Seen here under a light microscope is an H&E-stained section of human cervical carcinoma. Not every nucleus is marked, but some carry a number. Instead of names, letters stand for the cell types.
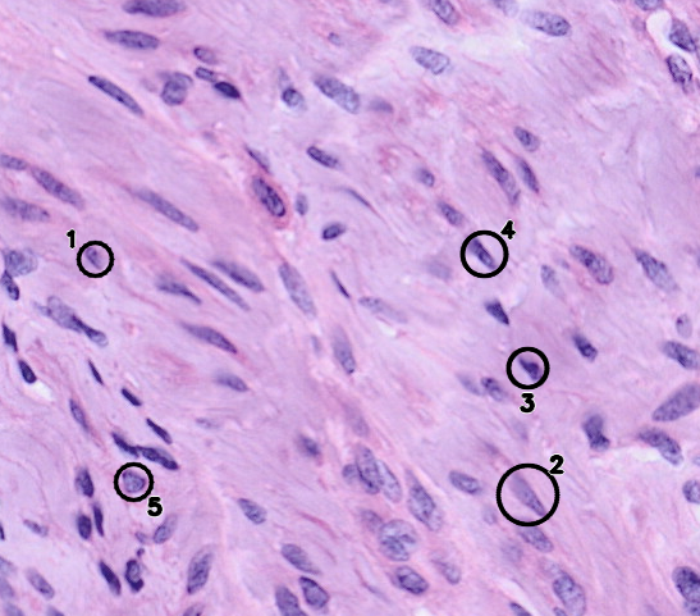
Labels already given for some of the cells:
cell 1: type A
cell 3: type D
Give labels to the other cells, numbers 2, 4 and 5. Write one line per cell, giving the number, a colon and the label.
2: type A
4: type D
5: type A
